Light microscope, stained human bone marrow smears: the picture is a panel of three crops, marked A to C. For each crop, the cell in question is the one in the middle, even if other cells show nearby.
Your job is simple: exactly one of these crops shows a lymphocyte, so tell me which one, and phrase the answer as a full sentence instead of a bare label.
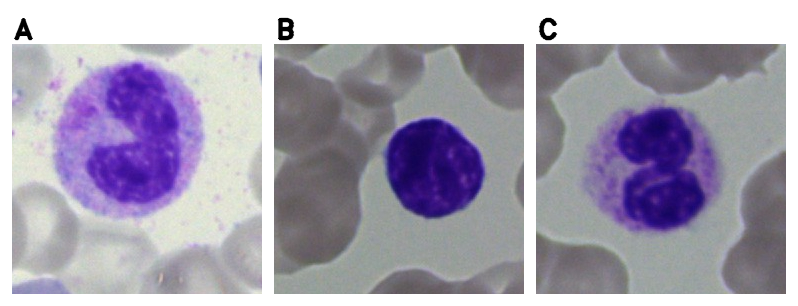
Crop B is the crop containing a lymphocyte.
